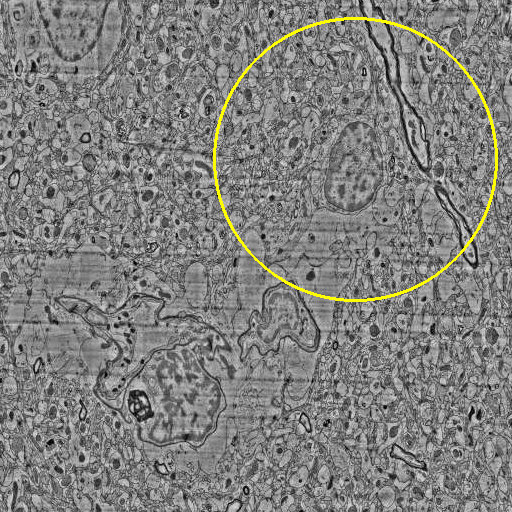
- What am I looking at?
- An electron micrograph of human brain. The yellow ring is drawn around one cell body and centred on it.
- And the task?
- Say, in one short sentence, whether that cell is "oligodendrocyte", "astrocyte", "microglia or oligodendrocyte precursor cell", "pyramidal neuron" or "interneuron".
The cell in the middle of the ring is a microglial cell or oligodendrocyte precursor cell.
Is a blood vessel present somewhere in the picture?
Yes, a blood vessel can be seen.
